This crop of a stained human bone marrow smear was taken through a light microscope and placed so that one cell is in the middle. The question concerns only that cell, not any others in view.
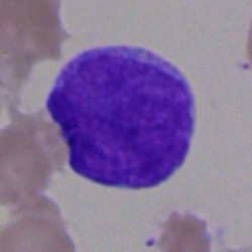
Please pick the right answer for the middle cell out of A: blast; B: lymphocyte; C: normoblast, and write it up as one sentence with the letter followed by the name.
Option A is correct in that the central cell is a blast.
